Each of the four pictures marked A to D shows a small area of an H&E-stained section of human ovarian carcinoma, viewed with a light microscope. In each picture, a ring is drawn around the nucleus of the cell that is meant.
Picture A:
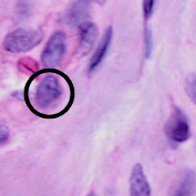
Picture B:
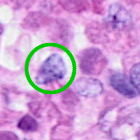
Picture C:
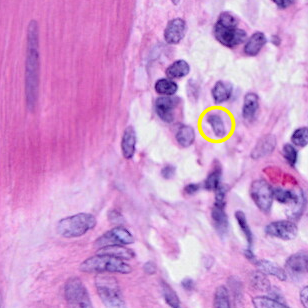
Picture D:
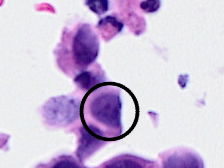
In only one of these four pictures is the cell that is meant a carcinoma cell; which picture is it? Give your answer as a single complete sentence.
The carcinoma cell is the one in picture D.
